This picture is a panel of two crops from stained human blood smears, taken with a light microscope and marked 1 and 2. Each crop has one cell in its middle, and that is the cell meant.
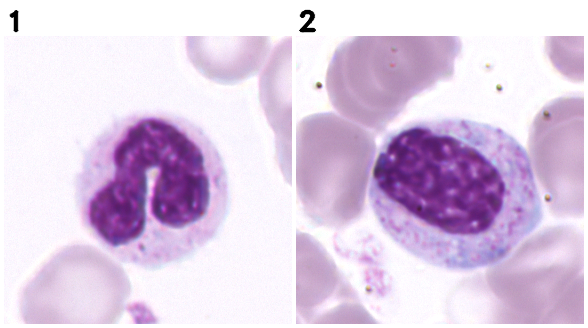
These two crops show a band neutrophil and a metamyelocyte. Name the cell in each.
1: band neutrophil
2: metamyelocyte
